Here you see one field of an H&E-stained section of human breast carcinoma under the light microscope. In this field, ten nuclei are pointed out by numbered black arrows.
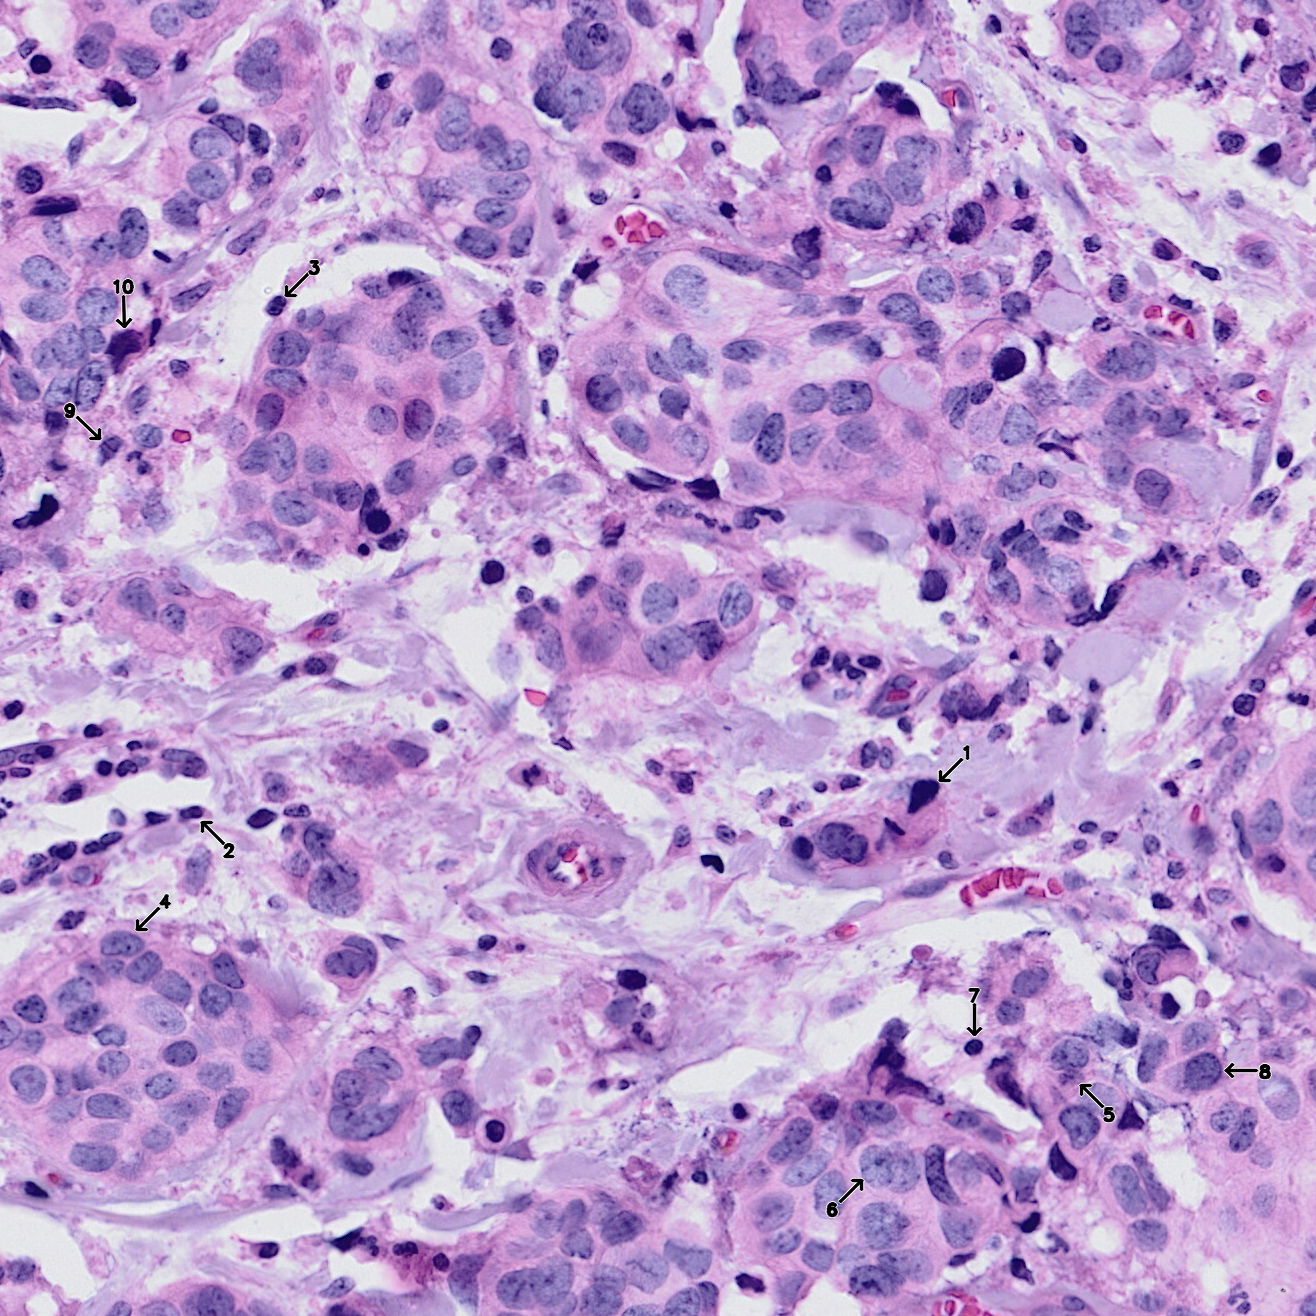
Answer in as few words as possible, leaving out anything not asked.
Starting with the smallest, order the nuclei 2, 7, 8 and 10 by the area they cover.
7, 2, 10, 8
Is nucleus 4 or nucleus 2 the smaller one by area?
2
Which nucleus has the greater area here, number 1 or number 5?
1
